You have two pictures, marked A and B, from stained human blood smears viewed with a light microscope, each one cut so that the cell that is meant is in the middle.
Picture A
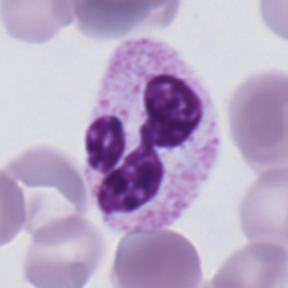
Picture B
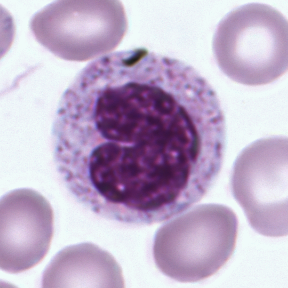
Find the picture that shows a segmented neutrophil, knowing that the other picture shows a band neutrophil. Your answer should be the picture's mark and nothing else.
A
